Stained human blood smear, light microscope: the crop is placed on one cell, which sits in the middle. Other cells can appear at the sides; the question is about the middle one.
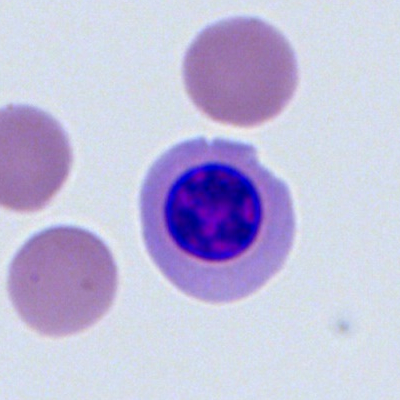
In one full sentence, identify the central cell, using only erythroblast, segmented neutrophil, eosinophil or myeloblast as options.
Standing at the centre of this crop is an erythroblast.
